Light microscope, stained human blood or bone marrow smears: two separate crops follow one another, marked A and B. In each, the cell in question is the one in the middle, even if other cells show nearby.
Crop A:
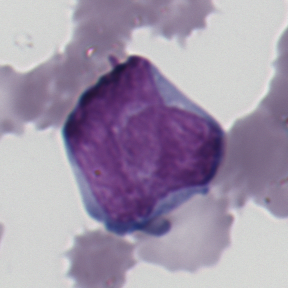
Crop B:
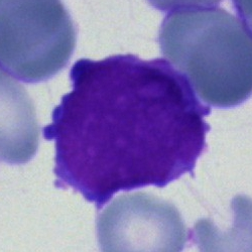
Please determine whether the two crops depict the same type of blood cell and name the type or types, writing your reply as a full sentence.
Yes, the middle cells in both crops are indeed blasts.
